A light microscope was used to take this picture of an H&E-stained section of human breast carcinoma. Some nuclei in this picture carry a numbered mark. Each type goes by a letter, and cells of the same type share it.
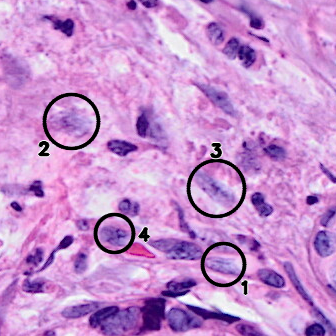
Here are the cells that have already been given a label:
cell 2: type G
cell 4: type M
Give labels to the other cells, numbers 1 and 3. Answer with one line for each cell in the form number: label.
1: type M
3: type G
